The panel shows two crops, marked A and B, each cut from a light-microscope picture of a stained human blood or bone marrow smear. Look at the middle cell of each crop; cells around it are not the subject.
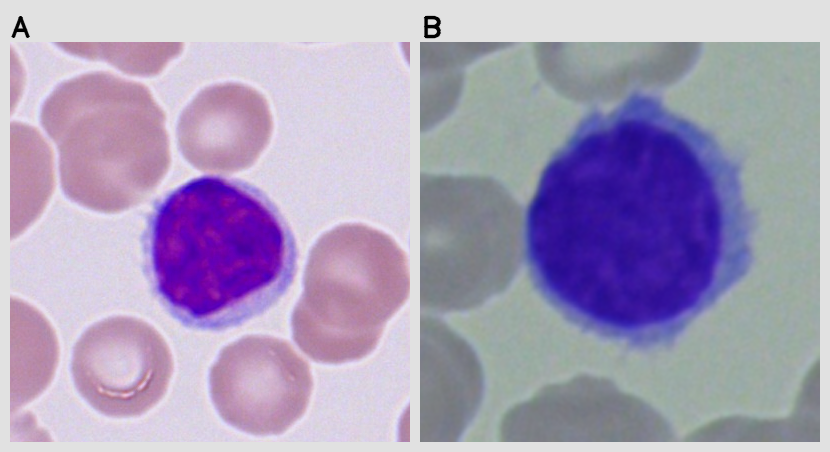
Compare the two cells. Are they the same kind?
yes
